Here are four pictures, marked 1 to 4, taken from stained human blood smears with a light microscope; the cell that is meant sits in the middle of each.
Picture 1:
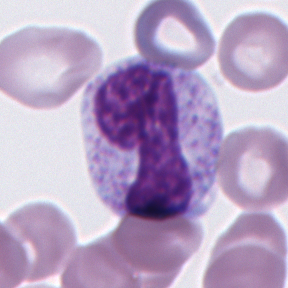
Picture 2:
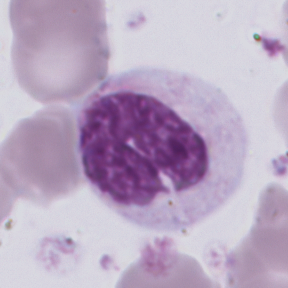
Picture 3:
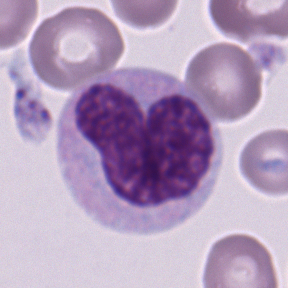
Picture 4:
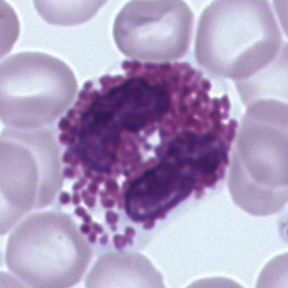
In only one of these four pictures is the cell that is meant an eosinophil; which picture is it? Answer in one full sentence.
Picture 4 is the one that shows the eosinophil.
